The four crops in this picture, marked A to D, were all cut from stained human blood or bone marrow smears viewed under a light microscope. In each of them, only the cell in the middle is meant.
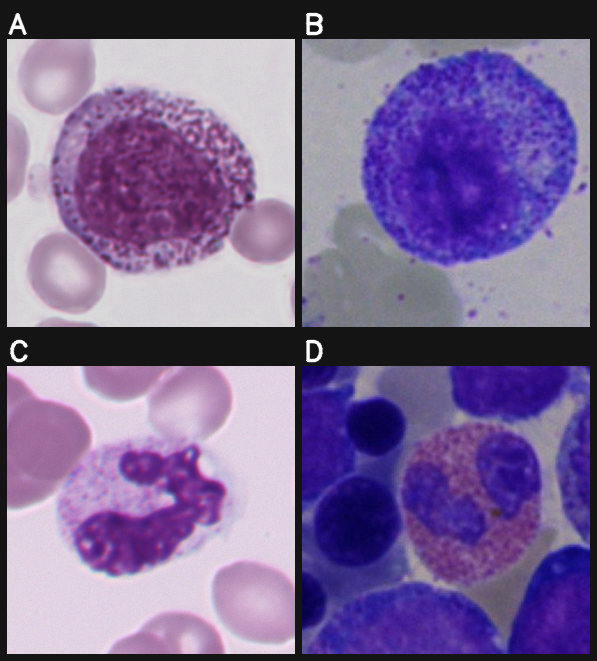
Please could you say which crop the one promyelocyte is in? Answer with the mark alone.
B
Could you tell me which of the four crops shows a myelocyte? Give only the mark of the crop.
A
